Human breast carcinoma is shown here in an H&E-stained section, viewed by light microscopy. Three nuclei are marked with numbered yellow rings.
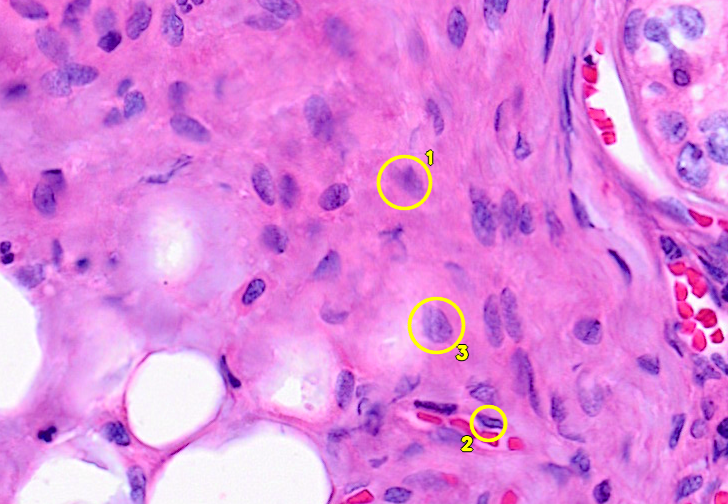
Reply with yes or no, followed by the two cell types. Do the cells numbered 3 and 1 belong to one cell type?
Yes, cells 3 and 1 are both recognised as fibroblasts.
